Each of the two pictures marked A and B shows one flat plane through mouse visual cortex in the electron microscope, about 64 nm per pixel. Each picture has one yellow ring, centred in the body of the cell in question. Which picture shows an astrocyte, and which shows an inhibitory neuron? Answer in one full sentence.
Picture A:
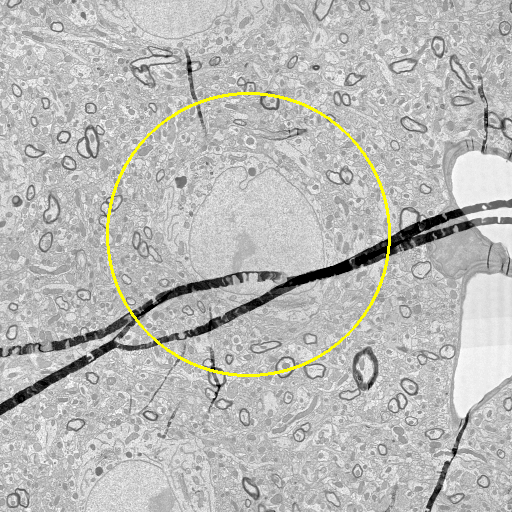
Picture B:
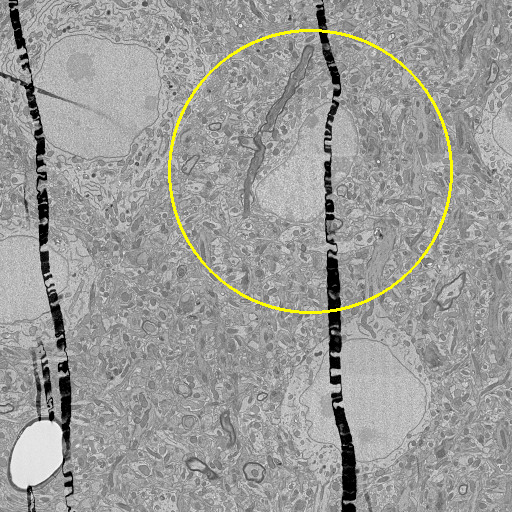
It is picture A that shows an inhibitory neuron, and picture B that shows an astrocyte.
